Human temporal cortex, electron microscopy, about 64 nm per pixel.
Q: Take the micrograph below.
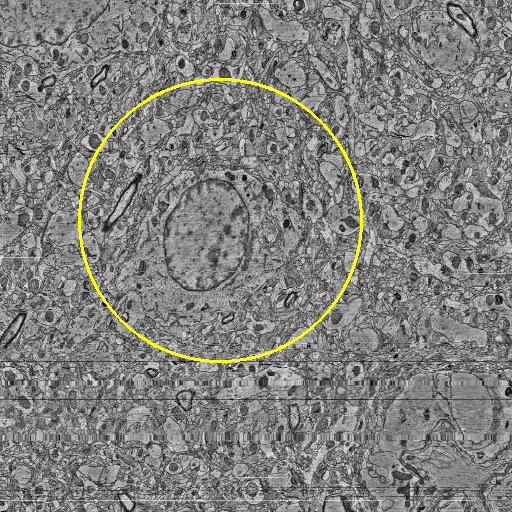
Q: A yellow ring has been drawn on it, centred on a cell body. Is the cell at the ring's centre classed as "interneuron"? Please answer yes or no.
No, its kind is another one.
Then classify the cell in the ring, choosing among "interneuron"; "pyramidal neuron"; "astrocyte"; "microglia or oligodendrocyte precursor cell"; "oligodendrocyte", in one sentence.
It is a pyramidal neuron at the centre of the ring.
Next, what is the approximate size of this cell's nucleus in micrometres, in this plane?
The nucleus works out at approximately 9 by 5 micrometres in this plane.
